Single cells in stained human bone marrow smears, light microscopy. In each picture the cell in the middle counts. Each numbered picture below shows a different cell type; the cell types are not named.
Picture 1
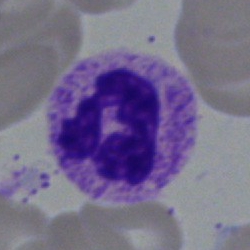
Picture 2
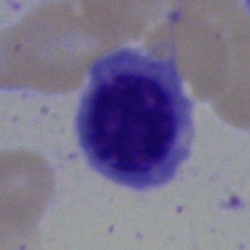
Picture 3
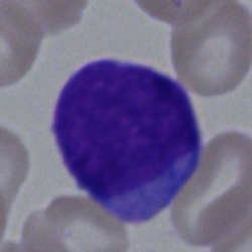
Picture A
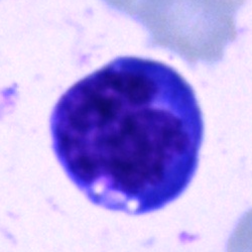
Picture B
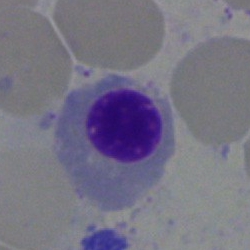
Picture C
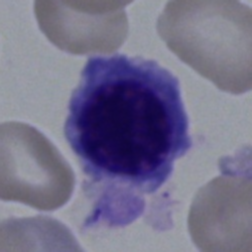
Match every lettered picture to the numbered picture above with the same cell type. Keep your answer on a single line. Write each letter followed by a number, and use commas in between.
A 3, B 2, C 2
